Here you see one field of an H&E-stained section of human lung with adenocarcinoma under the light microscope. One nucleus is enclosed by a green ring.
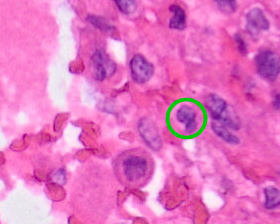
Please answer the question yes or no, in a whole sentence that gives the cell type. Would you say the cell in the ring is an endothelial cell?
No, the cell in the ring is correctly named a macrophage or monocyte; it is not an endothelial cell.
